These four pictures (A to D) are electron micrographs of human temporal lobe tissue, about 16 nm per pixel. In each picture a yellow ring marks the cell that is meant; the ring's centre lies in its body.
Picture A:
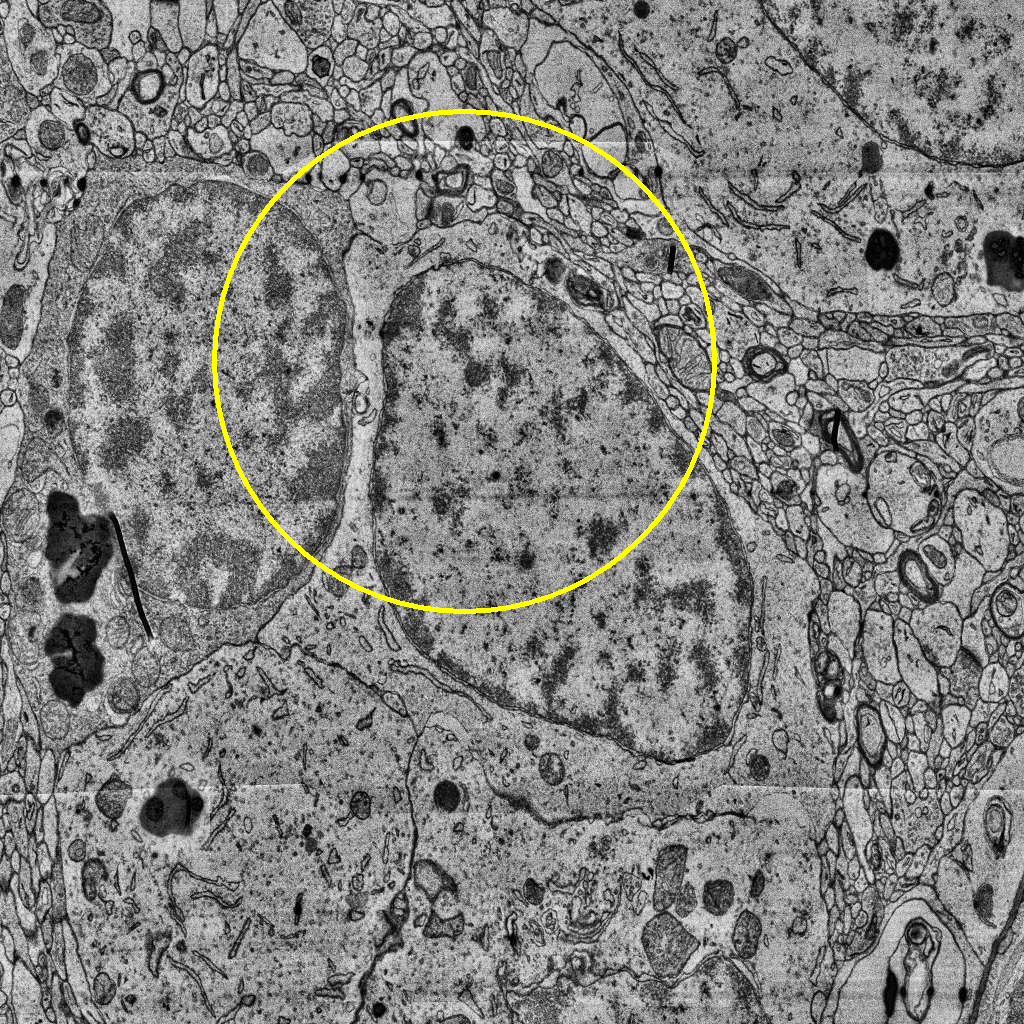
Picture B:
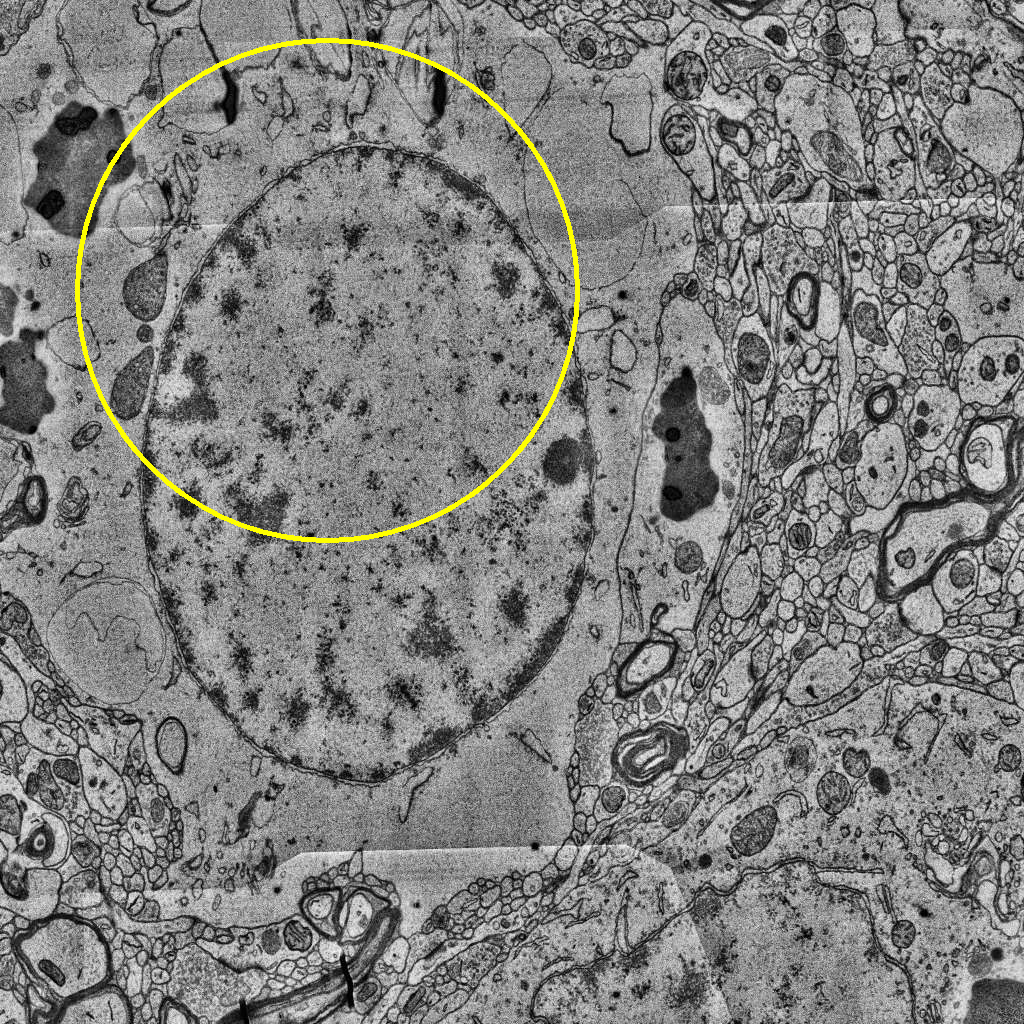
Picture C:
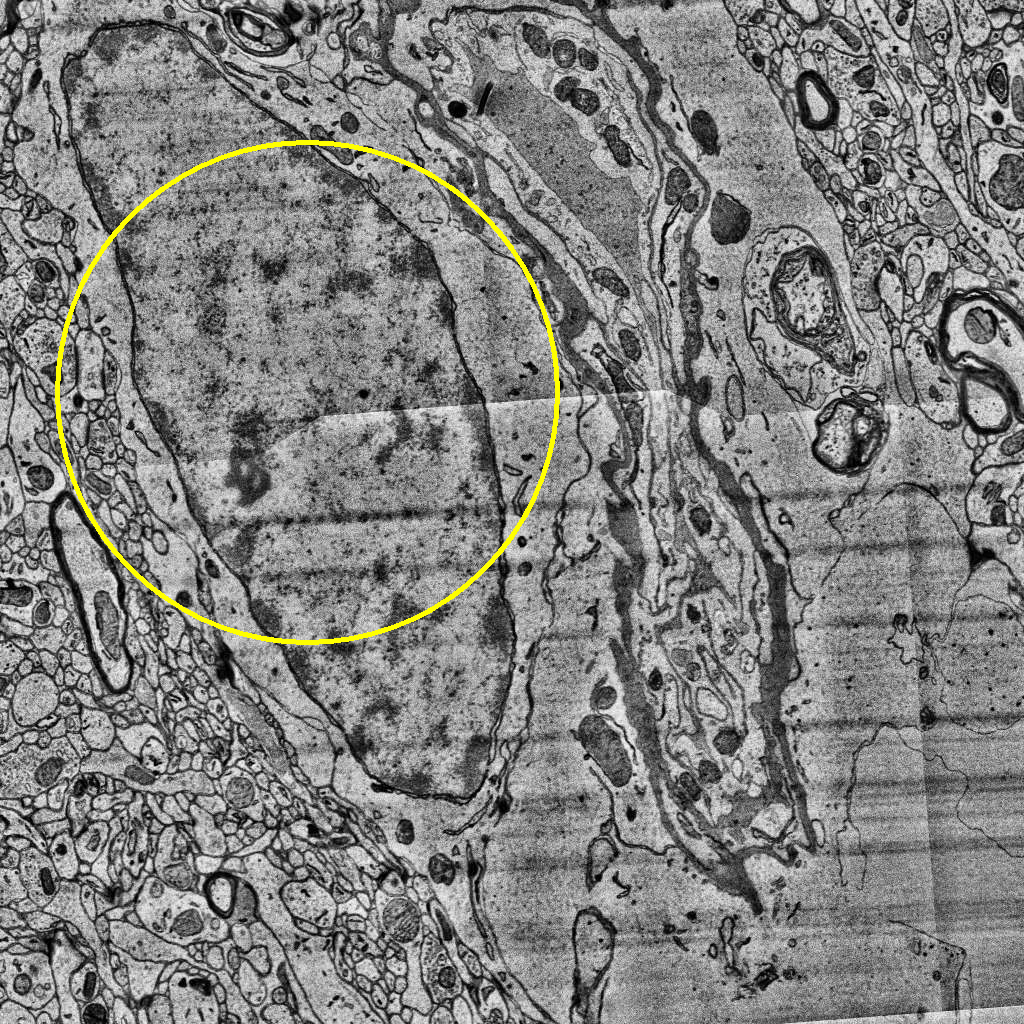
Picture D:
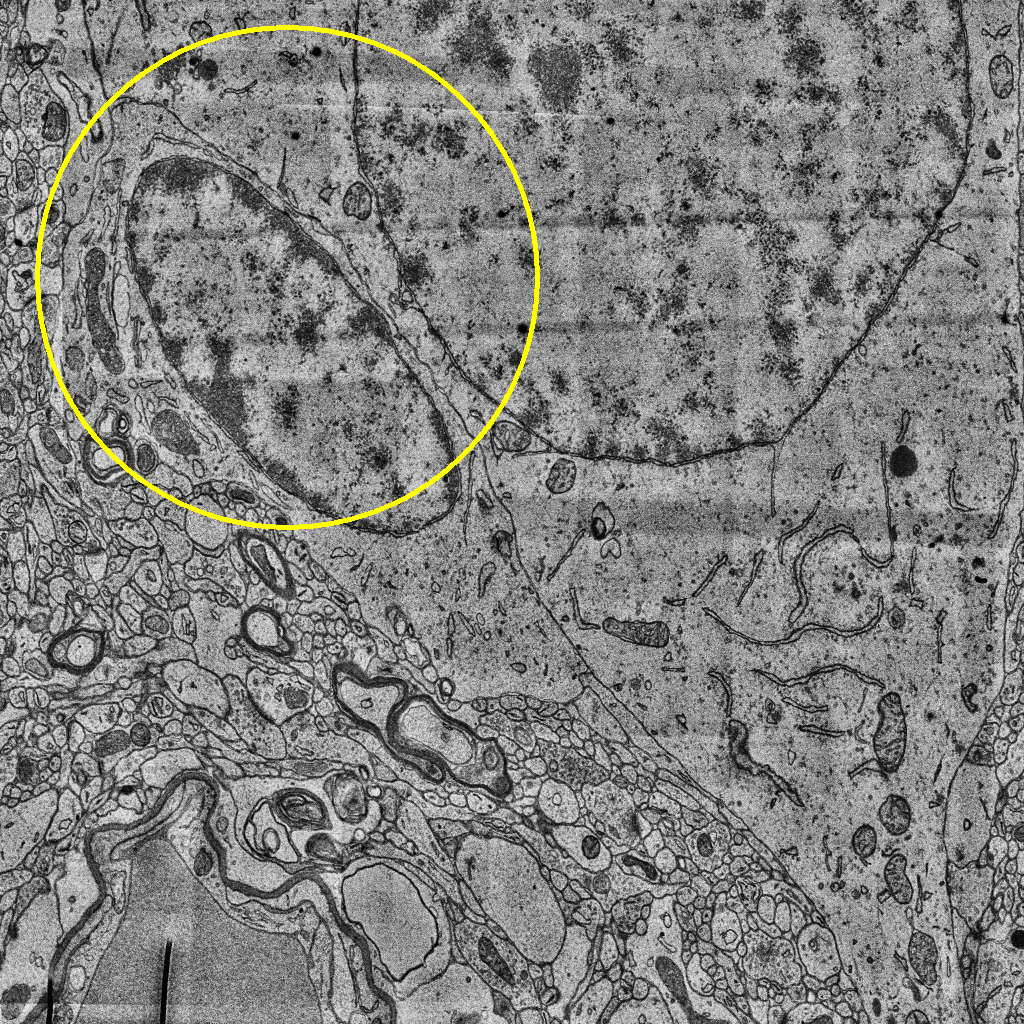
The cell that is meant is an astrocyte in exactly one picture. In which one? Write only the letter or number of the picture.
B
